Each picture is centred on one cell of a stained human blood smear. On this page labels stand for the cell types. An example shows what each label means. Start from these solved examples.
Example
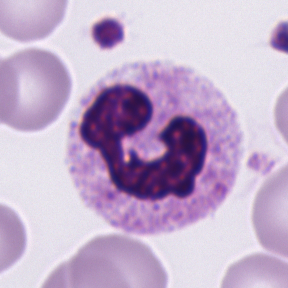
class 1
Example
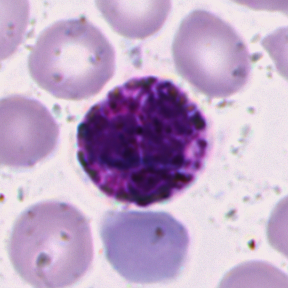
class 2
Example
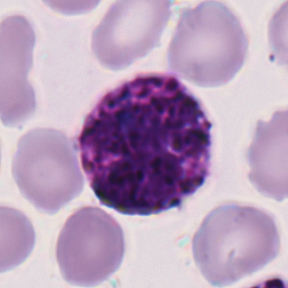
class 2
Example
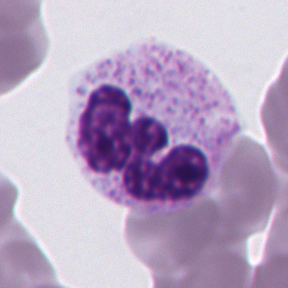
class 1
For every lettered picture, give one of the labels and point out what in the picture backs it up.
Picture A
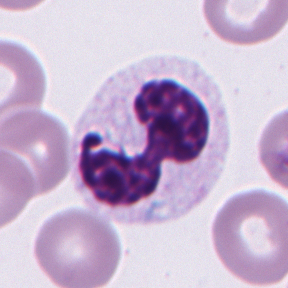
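class 1. Evidence: The cytoplasm holds fine, faint granules.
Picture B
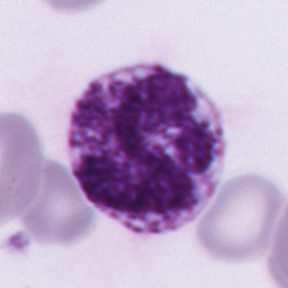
class 2. Evidence: The cytoplasm forms only a narrow pale rim around the dark mass.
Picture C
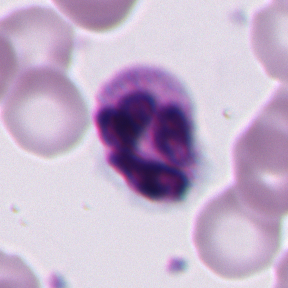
class 1. Evidence: The cytoplasm contains fine pinkish-purple granules.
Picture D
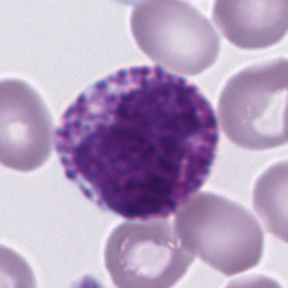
class 2. Evidence: The nucleus fills most of the cell and leaves a wider rim of cytoplasm on the upper left.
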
